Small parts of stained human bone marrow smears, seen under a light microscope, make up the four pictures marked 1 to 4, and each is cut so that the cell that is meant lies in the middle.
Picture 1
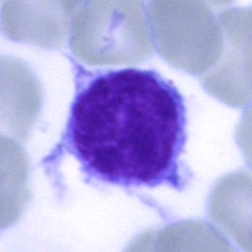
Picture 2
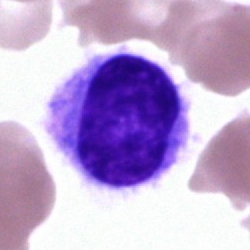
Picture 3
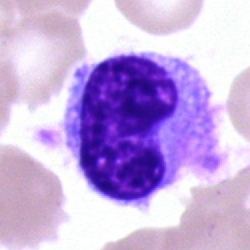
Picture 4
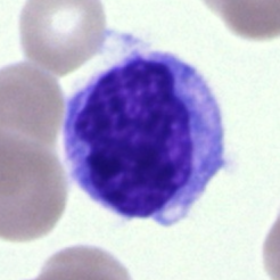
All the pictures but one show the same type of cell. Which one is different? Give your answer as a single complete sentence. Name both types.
Unlike the rest, which show hairy cells, picture 4 shows a monocyte.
